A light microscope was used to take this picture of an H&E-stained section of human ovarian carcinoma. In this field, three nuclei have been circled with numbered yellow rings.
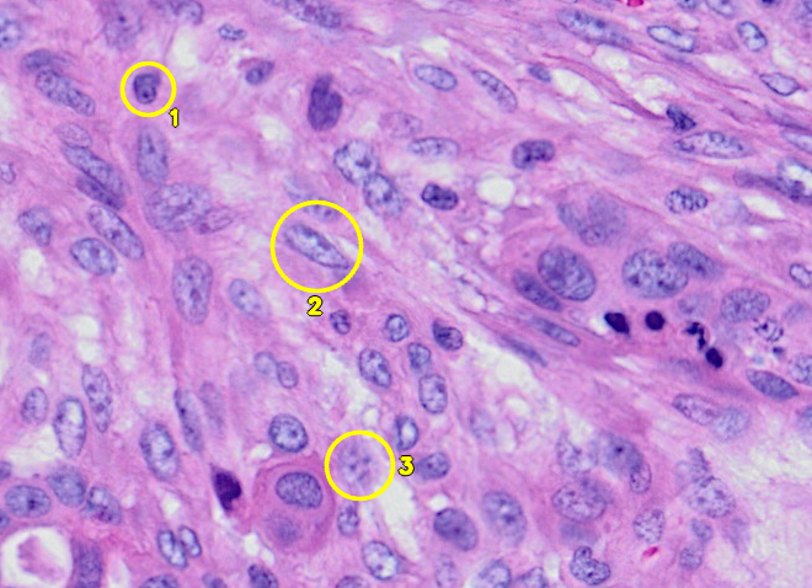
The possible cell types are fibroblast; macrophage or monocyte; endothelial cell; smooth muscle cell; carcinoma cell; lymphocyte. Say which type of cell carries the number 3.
fibroblast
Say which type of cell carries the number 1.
macrophage or monocyte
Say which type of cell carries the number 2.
fibroblast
